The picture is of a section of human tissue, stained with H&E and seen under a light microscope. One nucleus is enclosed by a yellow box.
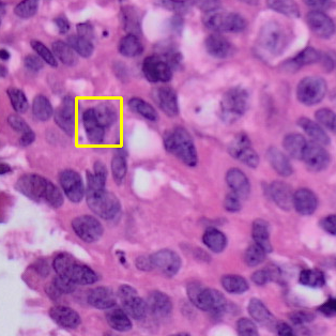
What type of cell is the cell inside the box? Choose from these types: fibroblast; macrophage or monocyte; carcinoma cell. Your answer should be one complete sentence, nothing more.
In cell-type terms, the cell inside the box is a carcinoma cell.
